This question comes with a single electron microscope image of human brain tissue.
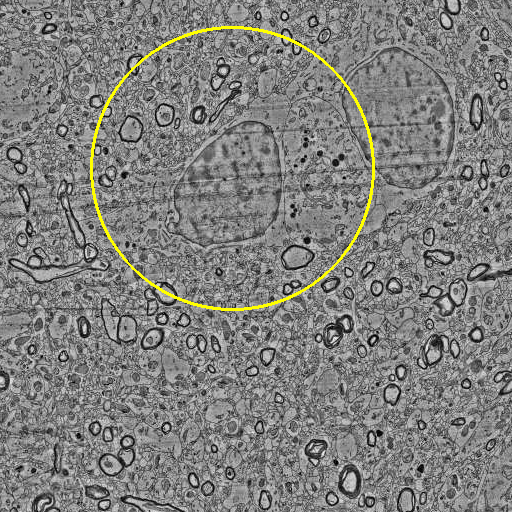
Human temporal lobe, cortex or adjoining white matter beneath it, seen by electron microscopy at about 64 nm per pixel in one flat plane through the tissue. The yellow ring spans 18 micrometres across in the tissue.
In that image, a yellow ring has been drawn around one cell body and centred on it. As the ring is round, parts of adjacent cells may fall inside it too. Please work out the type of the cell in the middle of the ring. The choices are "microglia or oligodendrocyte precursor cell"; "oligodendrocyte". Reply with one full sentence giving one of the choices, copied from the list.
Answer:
Of the choices, a microglial cell or oligodendrocyte precursor cell is the cell sitting in the middle of the ring.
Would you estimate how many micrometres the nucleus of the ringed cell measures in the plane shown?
The nucleus is approximately 9 micrometers long by 6 micrometers wide in this plane.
